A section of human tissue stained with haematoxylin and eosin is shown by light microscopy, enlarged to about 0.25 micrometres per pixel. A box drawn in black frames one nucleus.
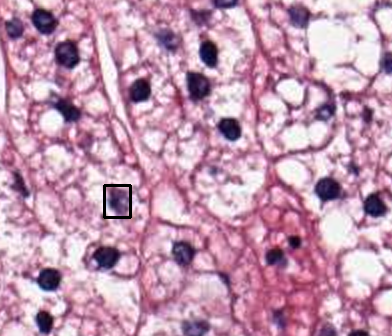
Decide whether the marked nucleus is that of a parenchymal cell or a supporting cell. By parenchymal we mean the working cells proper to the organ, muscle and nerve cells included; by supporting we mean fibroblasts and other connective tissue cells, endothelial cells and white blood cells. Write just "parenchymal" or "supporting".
parenchymal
